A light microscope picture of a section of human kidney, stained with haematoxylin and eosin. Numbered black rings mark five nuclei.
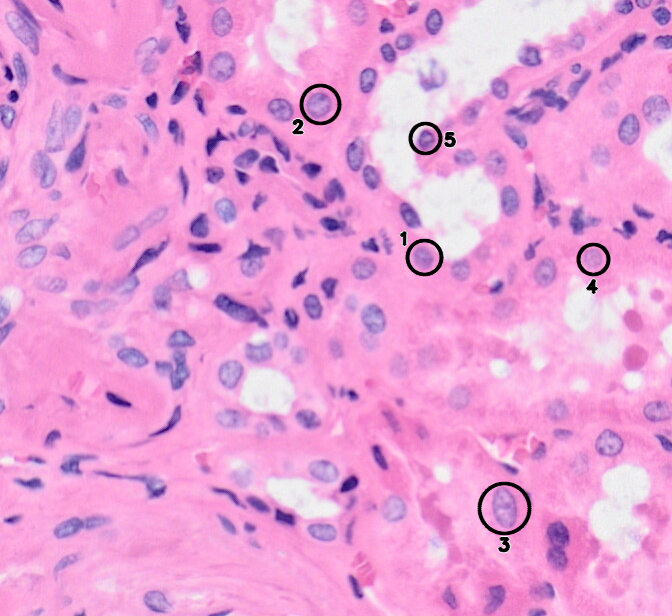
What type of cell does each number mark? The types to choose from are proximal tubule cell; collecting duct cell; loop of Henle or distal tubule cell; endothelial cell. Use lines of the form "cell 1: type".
cell 1: loop of Henle or distal tubule cell
cell 2: proximal tubule cell
cell 3: proximal tubule cell
cell 4: proximal tubule cell
cell 5: loop of Henle or distal tubule cell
